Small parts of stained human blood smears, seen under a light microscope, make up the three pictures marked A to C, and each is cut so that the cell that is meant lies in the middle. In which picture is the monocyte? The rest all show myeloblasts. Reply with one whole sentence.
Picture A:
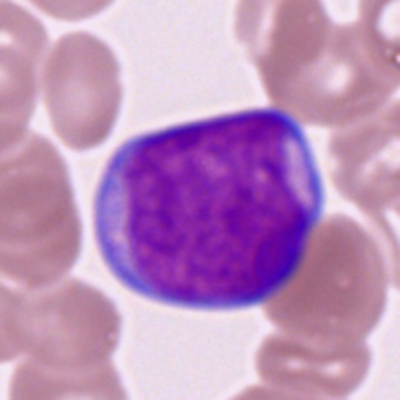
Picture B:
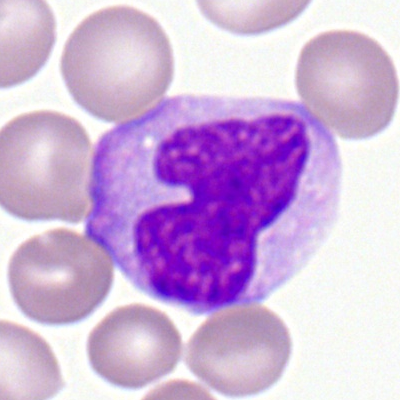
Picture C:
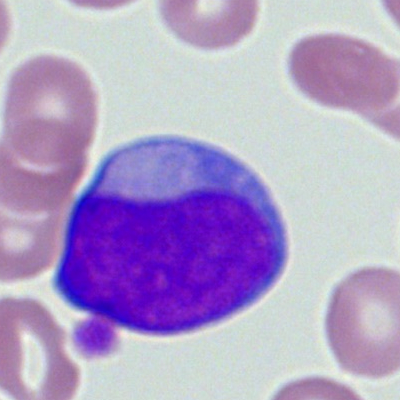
Picture B shows the monocyte.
